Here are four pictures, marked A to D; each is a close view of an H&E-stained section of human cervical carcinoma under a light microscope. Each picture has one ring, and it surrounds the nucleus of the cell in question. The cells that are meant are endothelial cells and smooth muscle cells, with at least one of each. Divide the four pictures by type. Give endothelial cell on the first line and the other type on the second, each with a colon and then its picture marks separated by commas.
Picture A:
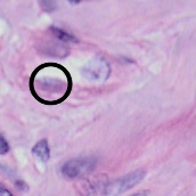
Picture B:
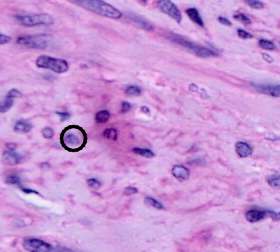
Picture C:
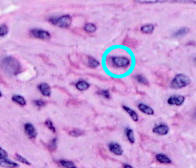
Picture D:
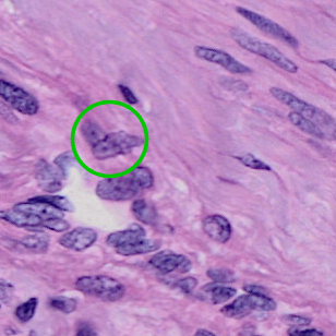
endothelial cell: A, D
smooth muscle cell: B, C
